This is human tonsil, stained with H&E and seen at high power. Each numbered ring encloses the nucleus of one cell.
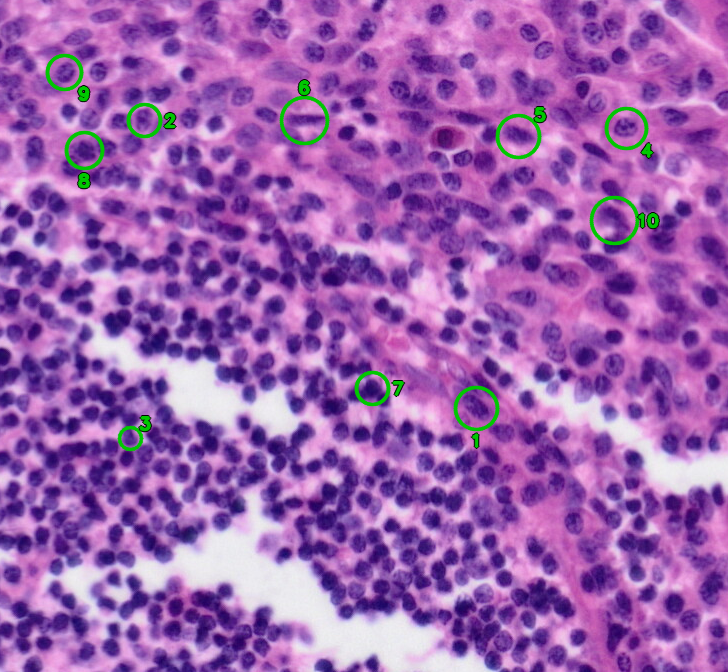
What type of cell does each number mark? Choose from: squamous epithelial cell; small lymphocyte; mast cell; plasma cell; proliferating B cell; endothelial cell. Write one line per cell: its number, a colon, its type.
1: endothelial cell
2: plasma cell
3: small lymphocyte
4: plasma cell
5: squamous epithelial cell
6: squamous epithelial cell
7: small lymphocyte
8: plasma cell
9: plasma cell
10: squamous epithelial cell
